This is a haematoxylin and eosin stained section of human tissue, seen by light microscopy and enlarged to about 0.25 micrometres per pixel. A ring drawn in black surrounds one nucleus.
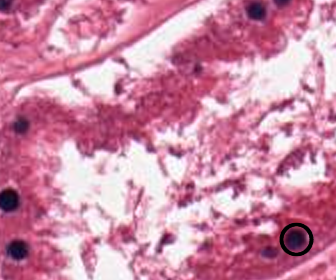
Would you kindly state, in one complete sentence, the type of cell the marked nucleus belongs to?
The marked nucleus is part of a proximal tubule cell.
